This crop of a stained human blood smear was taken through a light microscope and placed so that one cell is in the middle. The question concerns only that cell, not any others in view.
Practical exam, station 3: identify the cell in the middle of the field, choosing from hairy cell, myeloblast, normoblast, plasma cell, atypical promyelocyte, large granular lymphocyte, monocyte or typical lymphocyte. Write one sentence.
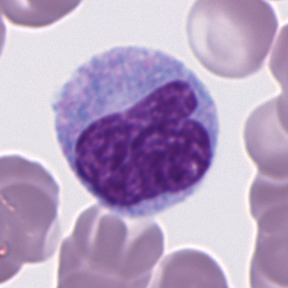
Whatever else lies nearby, the middle cell is a monocyte.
